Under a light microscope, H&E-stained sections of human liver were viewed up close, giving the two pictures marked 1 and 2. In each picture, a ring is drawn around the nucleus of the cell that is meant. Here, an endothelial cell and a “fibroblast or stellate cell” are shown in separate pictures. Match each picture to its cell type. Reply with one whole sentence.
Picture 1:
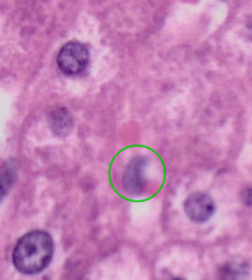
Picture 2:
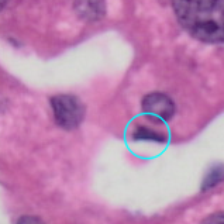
It is picture 1 that shows an endothelial cell, and picture 2 that shows a “fibroblast or stellate cell”.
